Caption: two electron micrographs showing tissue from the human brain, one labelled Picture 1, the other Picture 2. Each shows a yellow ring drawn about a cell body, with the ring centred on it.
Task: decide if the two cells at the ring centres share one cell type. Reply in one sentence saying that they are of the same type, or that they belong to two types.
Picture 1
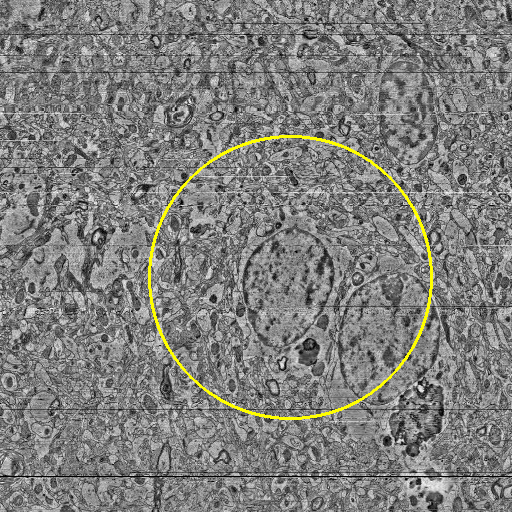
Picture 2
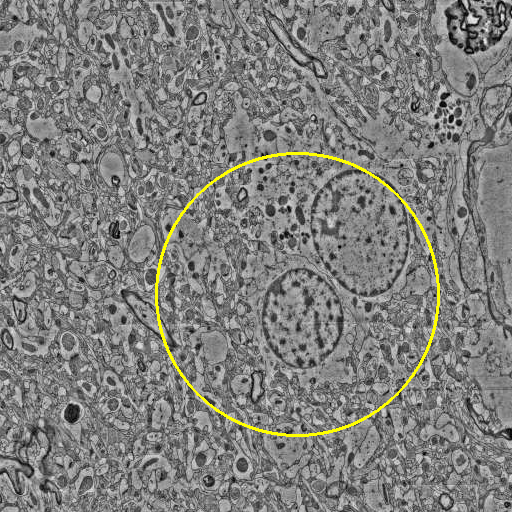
The cells at the ring centres in Picture 1 and Picture 2 are of the same type.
